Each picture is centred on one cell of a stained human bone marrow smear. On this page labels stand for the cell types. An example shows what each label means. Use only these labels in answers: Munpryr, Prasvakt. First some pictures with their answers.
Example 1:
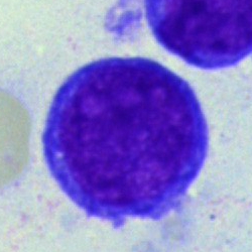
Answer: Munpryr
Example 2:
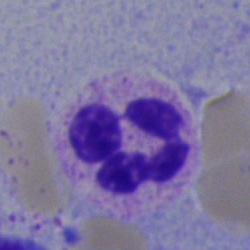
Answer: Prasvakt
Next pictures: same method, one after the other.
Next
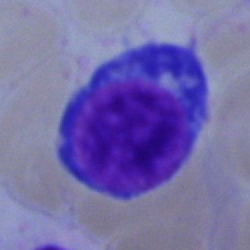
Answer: Munpryr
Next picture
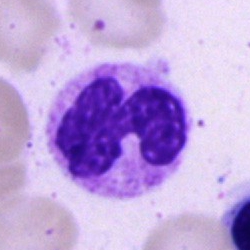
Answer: Prasvakt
